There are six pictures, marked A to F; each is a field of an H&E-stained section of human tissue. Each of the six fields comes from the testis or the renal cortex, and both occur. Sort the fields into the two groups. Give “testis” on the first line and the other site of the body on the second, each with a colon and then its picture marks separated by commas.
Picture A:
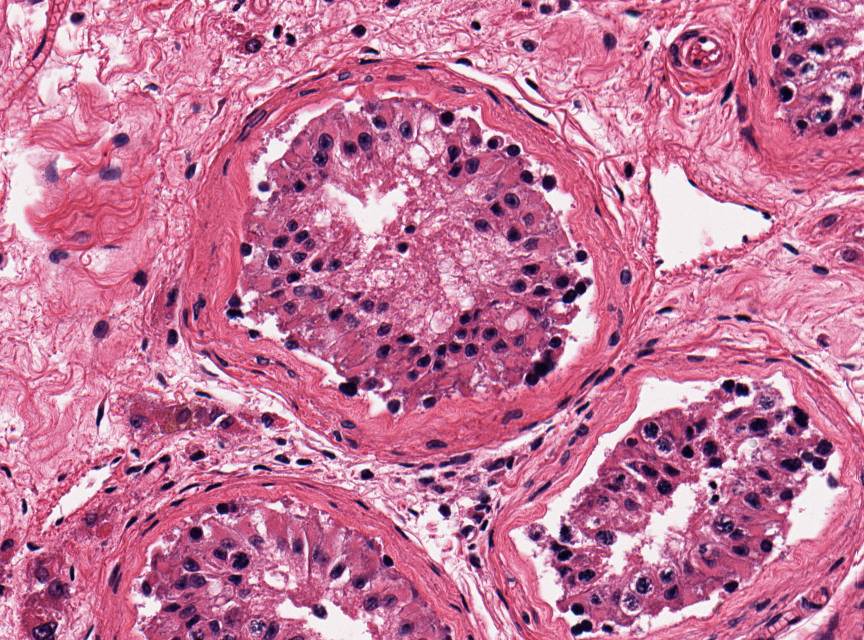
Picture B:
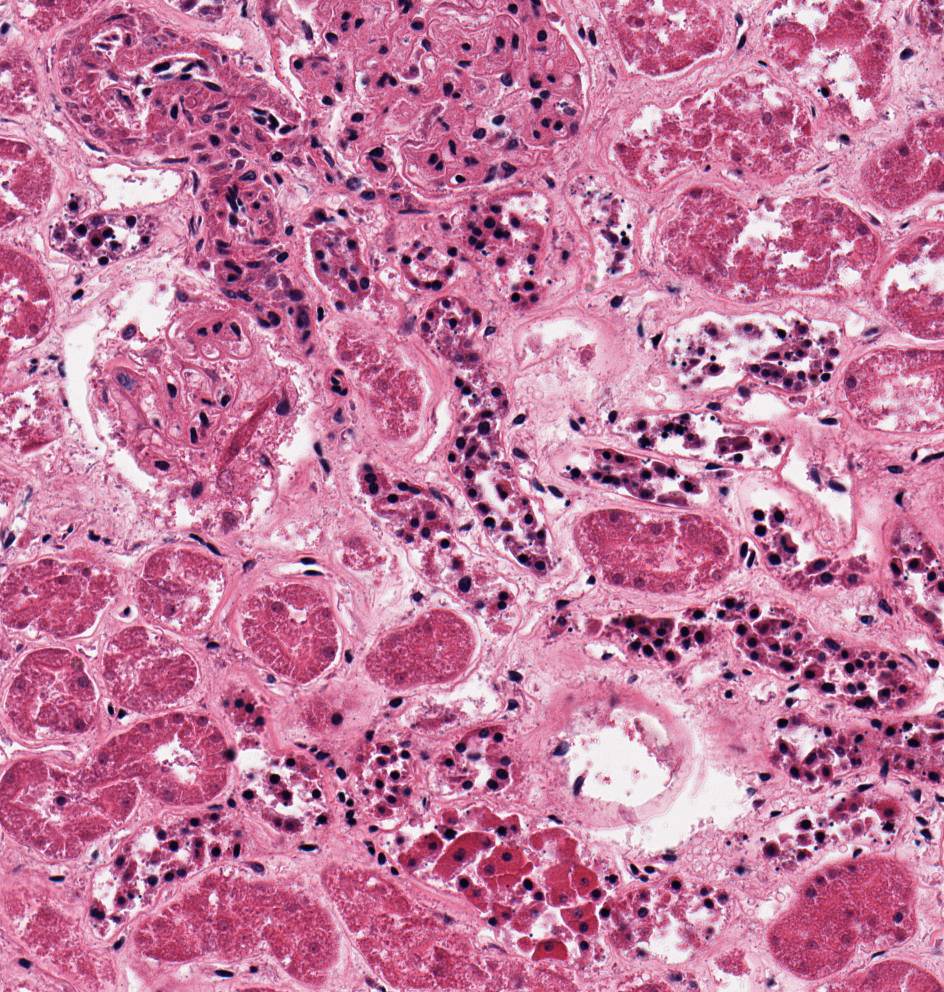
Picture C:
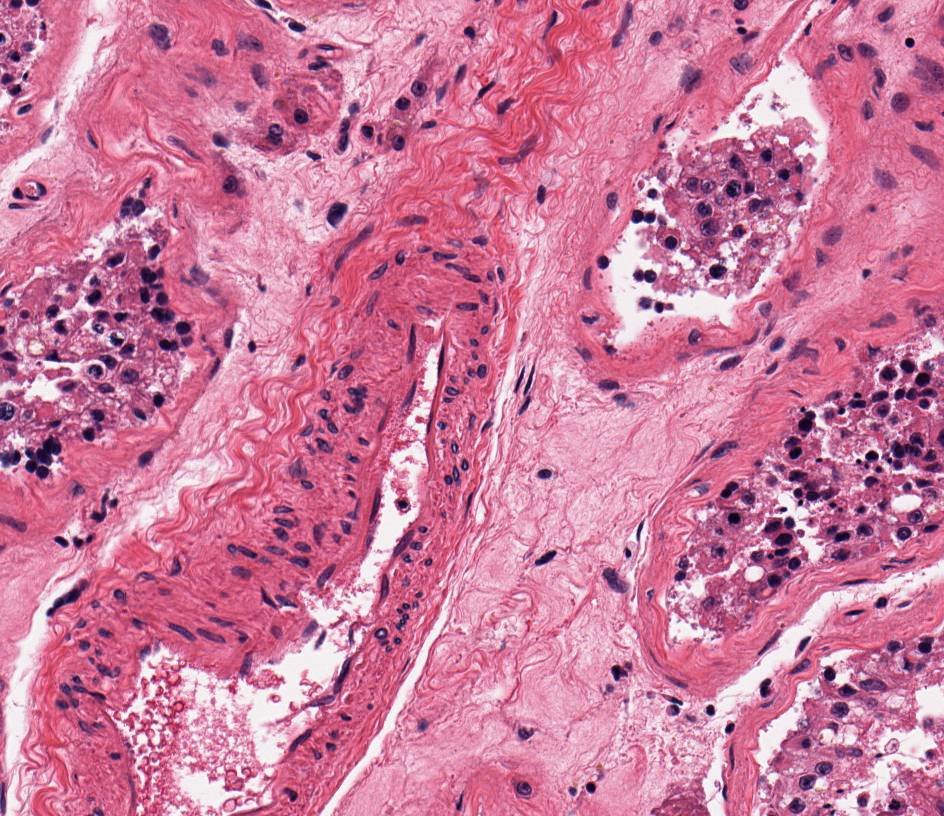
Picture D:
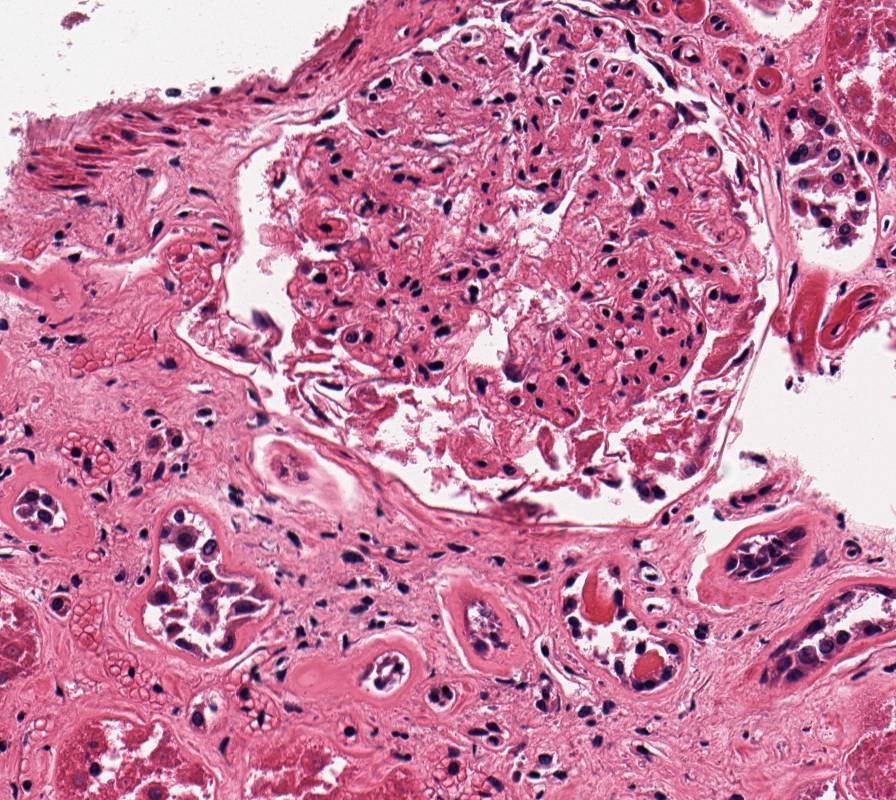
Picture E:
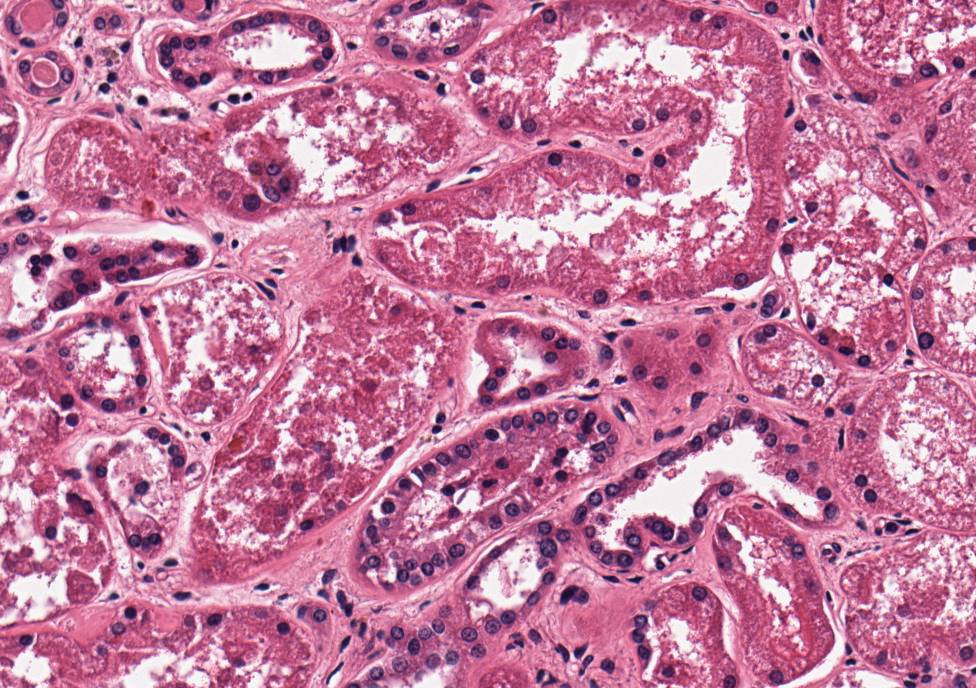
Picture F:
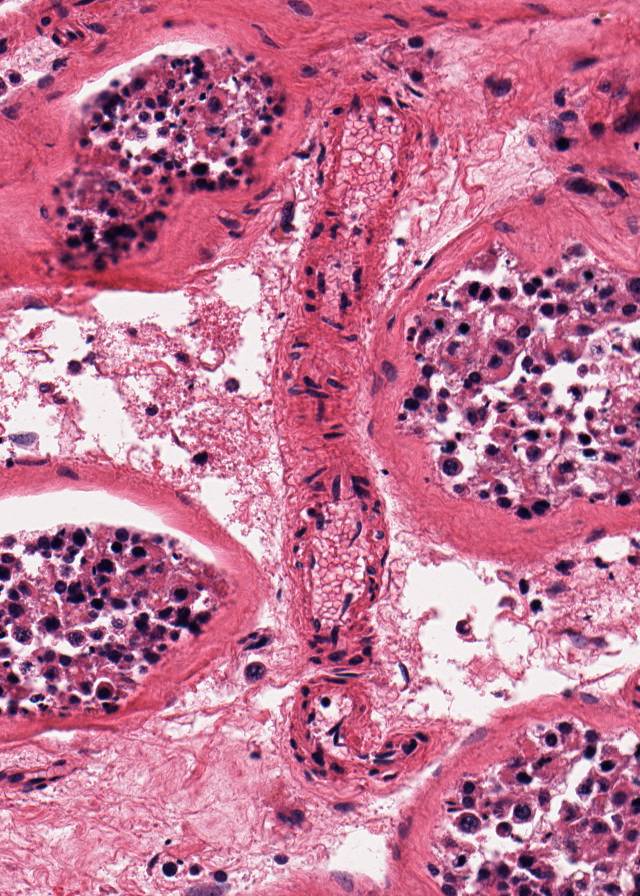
testis: A, C, F
renal cortex: B, D, E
